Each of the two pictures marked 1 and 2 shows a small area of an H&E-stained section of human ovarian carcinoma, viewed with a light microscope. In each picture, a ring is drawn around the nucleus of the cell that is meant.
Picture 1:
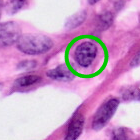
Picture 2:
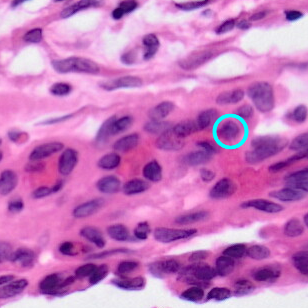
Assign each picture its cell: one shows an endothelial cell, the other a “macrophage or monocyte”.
1: macrophage or monocyte
2: endothelial cell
